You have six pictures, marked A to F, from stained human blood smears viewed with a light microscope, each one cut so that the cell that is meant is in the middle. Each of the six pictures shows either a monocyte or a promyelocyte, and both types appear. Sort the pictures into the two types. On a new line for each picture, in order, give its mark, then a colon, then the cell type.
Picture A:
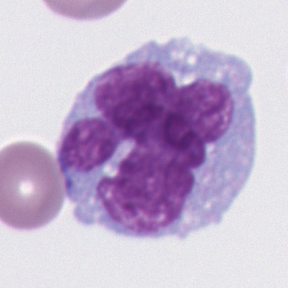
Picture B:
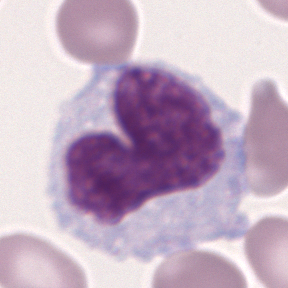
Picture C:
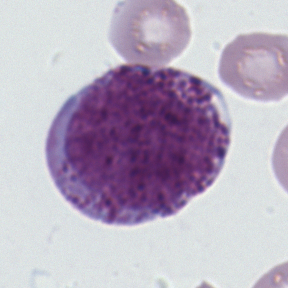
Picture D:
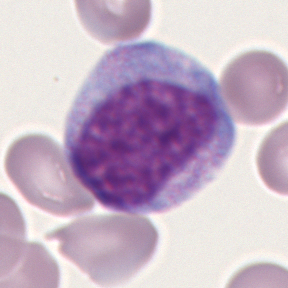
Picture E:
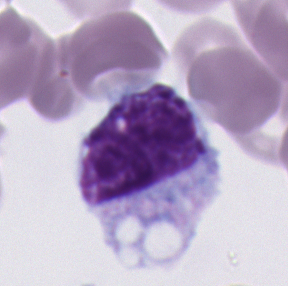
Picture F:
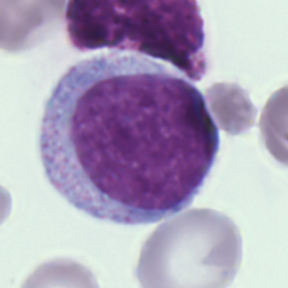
A: monocyte
B: monocyte
C: promyelocyte
D: promyelocyte
E: monocyte
F: promyelocyte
